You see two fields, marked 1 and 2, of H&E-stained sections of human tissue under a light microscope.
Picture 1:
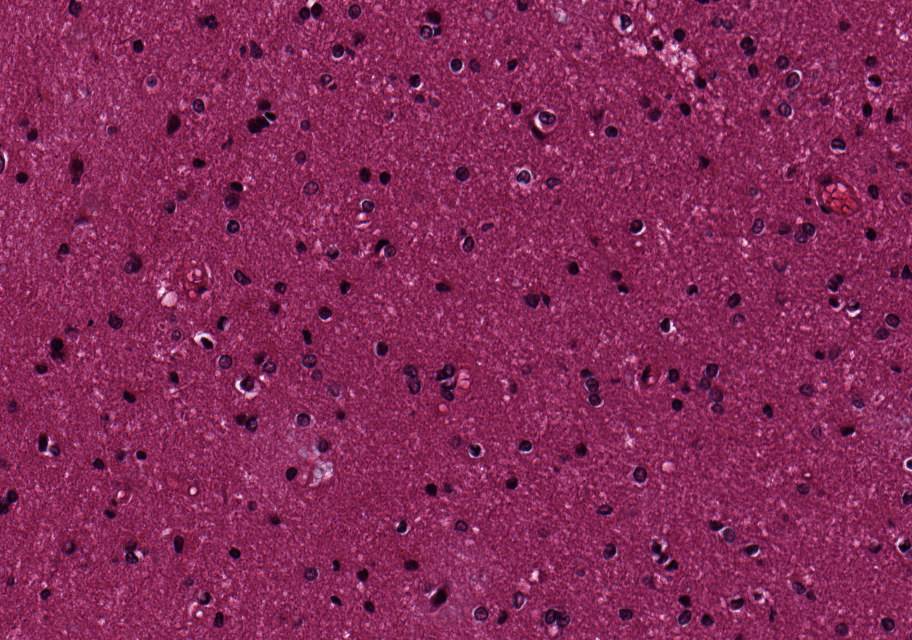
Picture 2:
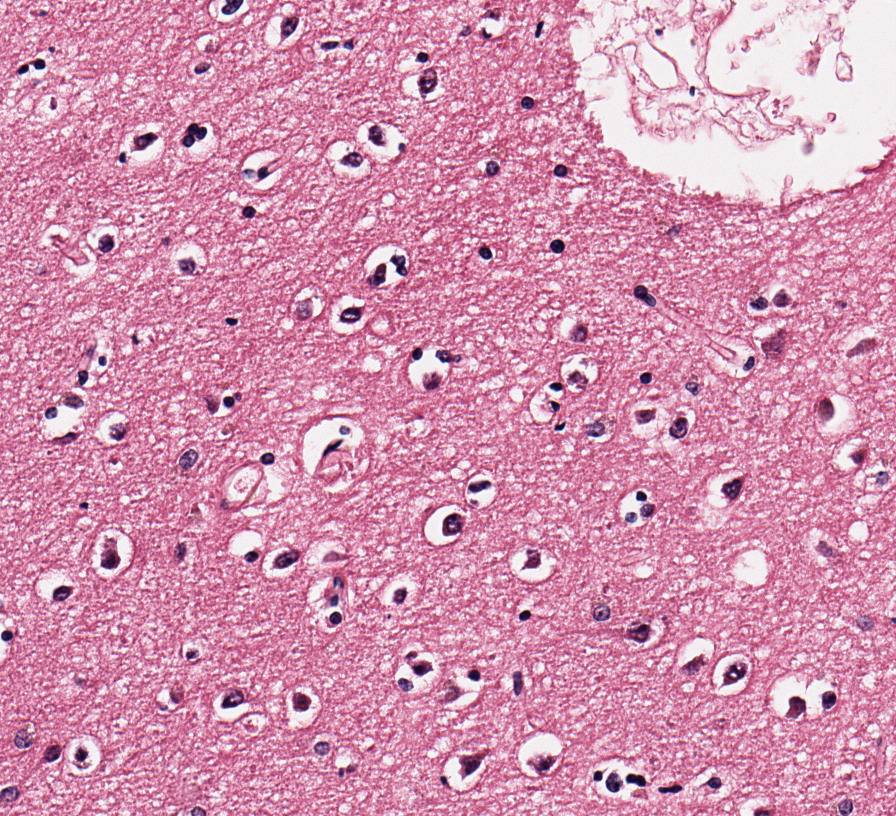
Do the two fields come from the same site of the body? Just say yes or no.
yes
